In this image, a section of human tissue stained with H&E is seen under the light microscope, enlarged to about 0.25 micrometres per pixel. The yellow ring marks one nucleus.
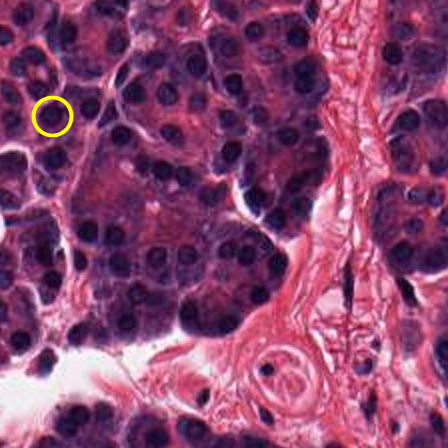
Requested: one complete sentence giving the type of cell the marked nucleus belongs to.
The marked nucleus is a nucleus of a pancreatic acinar cell.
